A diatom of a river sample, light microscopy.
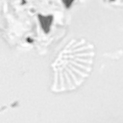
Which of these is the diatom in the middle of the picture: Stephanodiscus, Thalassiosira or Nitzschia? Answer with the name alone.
Stephanodiscus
